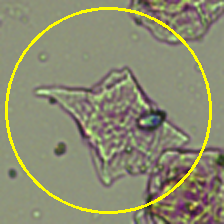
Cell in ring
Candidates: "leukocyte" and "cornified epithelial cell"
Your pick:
cornified epithelial cell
